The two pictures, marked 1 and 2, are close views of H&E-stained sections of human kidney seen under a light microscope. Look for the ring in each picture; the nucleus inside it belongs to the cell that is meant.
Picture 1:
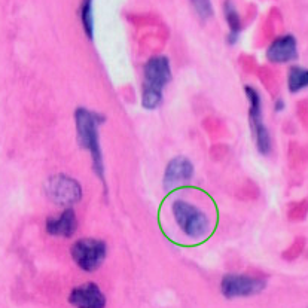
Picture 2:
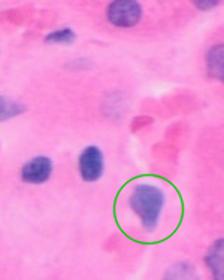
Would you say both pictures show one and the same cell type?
yes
